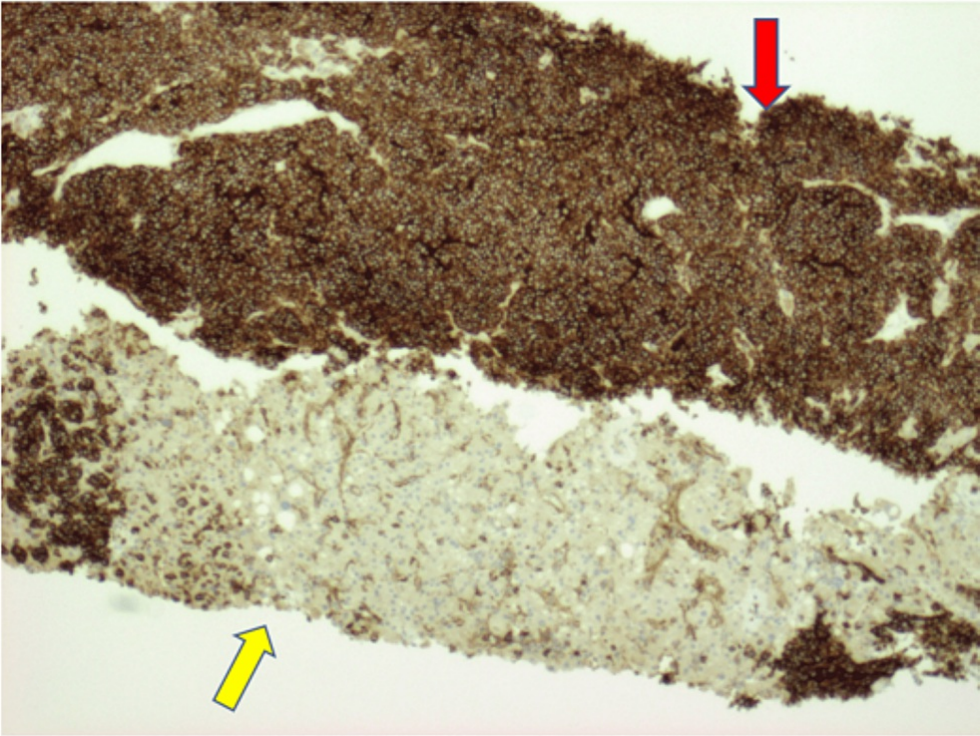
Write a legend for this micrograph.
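This core of liver tissue has two different areas. One is a solid tumor made of sheets of small, crowded cells that stain strongly brown, and thin pale clefts divide these sheets into nests. The other area is paler liver parenchyma. Its larger polygonal cells have pale cytoplasm and blue nuclei, with scattered clear vacuoles and only thin brown outlines. Small clusters of brown-stained tumor cells also lie at the edges of the paler fragment.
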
